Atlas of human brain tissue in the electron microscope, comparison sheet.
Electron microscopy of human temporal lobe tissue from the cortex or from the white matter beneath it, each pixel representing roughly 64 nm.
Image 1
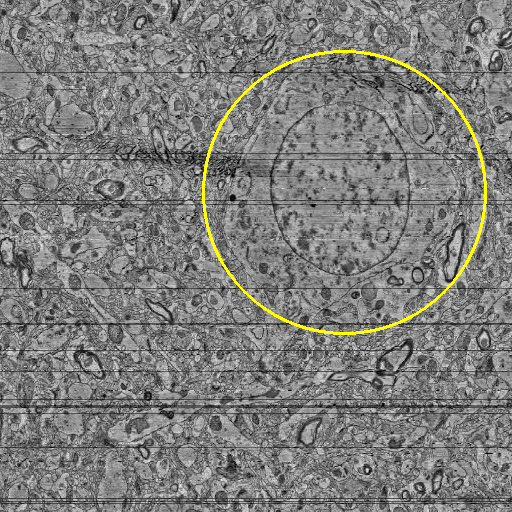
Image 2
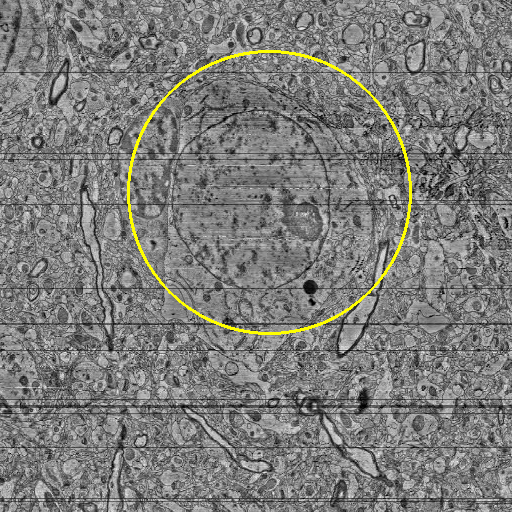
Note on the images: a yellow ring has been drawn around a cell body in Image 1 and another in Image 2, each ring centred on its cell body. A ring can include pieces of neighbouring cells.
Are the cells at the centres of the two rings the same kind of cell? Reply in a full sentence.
Yes, both cells are of the same kind.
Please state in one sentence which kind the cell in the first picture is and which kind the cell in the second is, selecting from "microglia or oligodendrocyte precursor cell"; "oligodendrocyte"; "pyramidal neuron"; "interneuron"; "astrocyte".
The cell at the ring centre is a pyramidal neuron in both pictures.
